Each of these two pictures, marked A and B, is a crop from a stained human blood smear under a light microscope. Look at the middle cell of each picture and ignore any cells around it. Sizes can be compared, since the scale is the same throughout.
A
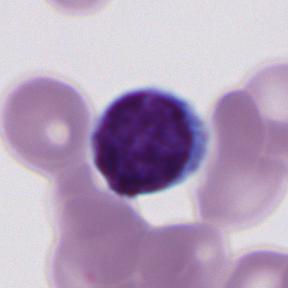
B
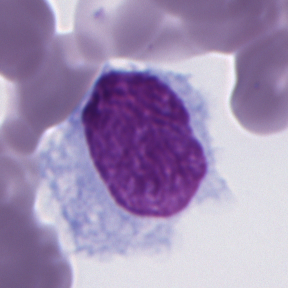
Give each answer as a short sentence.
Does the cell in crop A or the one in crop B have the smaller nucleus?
Crop A shows the smaller nucleus, since that in crop B covers about 1.5 times as much area.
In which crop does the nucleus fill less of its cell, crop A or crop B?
In crop B the nucleus takes up the smaller part of its cell.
